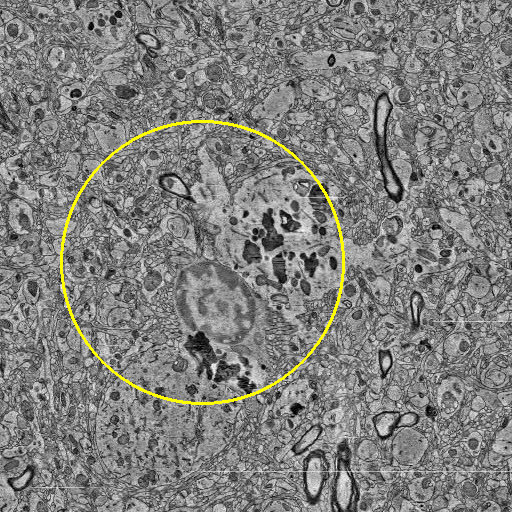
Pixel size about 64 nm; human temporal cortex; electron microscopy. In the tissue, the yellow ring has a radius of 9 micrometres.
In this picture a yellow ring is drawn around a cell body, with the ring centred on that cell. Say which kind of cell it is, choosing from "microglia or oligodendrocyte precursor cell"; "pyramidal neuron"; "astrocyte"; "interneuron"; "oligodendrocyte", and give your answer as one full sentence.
Here it is an oligodendrocyte that sits at the centre of the drawn yellow ring.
